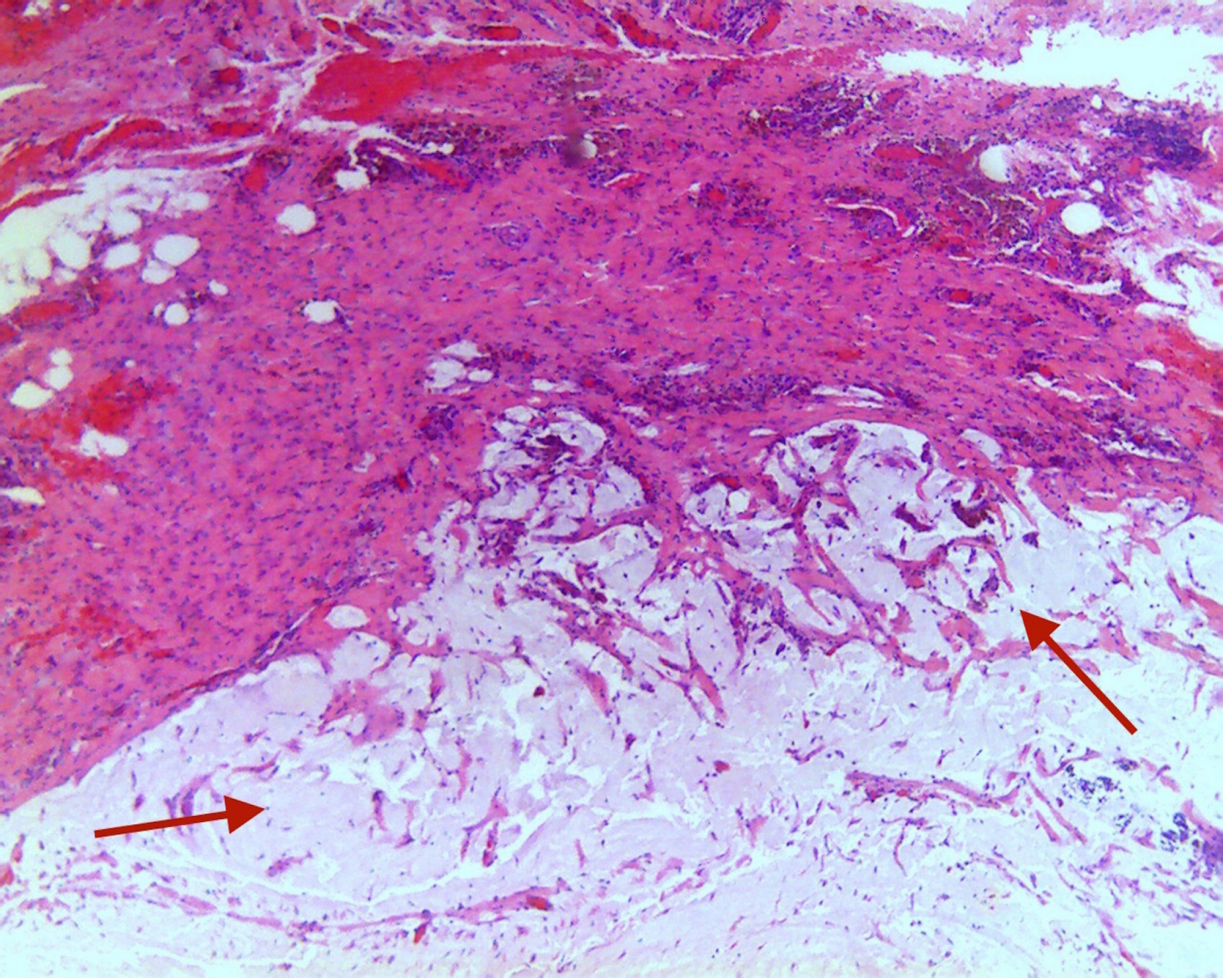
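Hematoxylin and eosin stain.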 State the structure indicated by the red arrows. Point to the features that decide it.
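Pools of mucin. The arrows point to broad pale lavender, nearly acellular lakes of material. The pale lakes are large and irregular and push up into the denser pink tissue above. Thin pink strands and scattered cells float within the pale material.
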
